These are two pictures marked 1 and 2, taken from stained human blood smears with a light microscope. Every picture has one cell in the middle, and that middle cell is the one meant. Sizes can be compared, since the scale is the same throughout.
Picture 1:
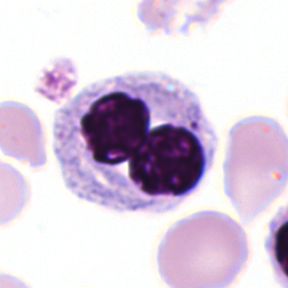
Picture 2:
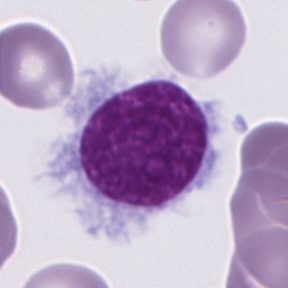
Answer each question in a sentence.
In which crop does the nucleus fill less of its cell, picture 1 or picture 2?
The nucleus fills less of the cell in picture 1 than in picture 2.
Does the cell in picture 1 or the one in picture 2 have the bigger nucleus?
Larger is the nucleus in picture 2, at roughly 1.5 times the area of the other.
